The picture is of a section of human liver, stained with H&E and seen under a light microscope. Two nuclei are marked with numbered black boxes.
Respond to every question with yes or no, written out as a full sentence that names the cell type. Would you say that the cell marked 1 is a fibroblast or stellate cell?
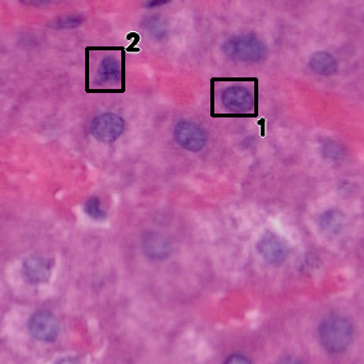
No, the cell at number 1 is a hepatocyte instead of a fibroblast or stellate cell.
